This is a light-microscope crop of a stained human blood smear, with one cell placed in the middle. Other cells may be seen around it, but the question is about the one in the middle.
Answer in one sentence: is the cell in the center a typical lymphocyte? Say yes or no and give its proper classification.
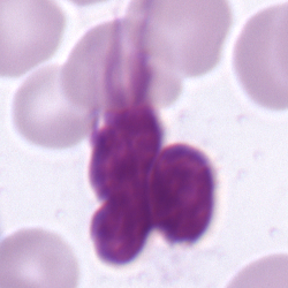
No, the centrally placed cell is a smudge cell, not a typical lymphocyte.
